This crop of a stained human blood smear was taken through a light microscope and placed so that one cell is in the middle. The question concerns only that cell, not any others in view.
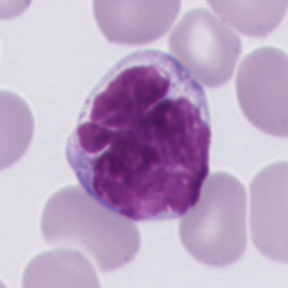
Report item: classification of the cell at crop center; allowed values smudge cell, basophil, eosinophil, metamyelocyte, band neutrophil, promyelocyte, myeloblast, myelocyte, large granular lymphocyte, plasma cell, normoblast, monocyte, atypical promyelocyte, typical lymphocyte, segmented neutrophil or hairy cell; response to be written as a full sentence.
The central cell, amid any neighbouring cells, is a large granular lymphocyte.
